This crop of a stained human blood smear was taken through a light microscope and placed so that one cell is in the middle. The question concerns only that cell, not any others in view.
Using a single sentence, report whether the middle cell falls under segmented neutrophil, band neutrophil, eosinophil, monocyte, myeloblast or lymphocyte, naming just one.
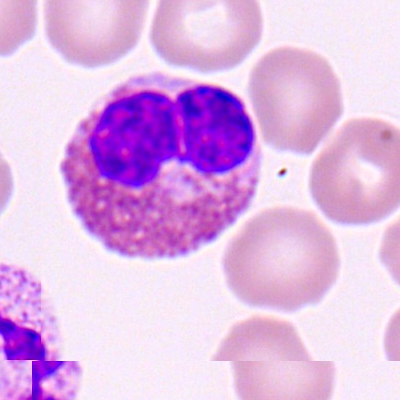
The cell around which this crop is centred is an eosinophil.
